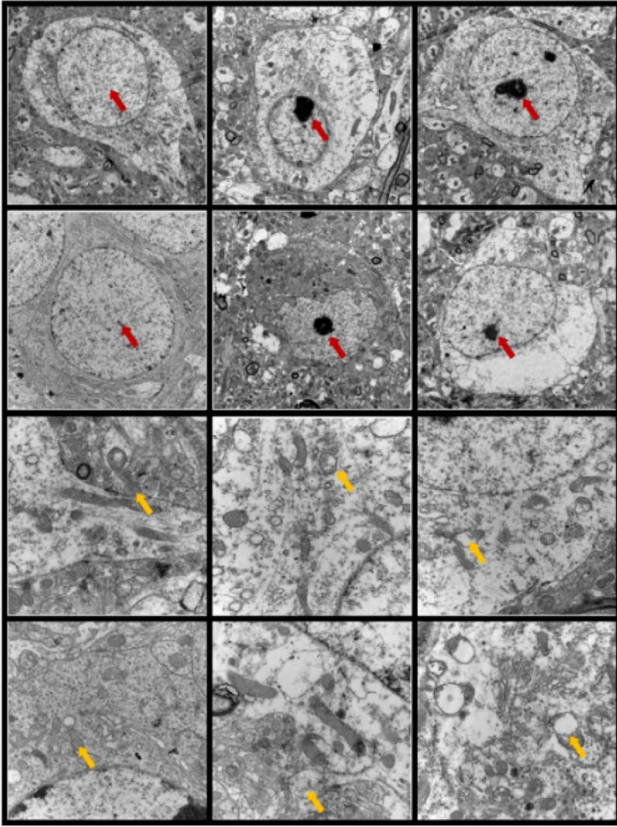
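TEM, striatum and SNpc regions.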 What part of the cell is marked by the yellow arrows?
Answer: mitochondria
